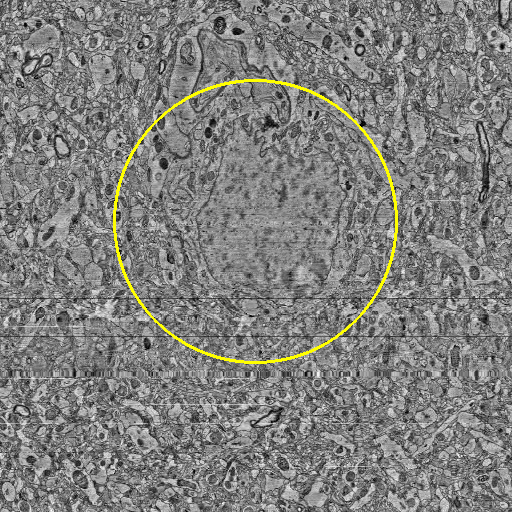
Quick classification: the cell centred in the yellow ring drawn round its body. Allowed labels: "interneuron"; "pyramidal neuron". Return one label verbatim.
interneuron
